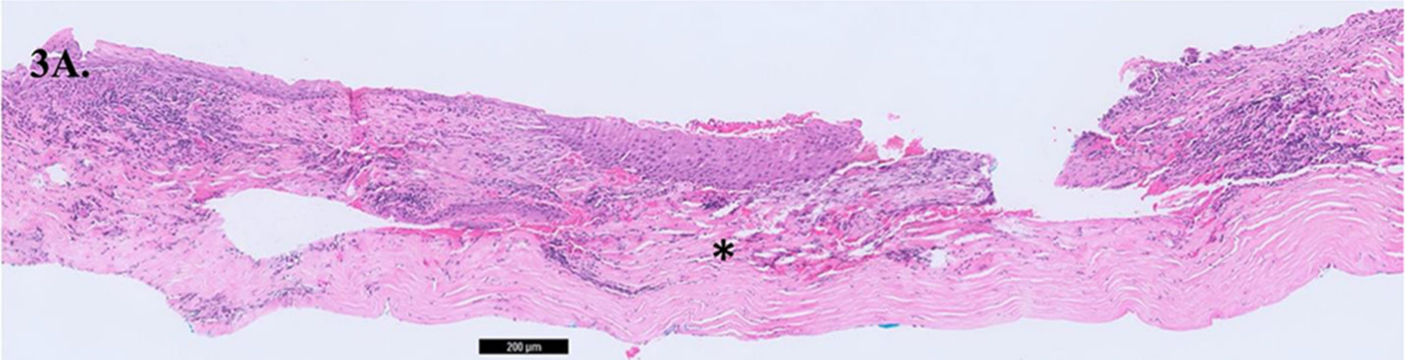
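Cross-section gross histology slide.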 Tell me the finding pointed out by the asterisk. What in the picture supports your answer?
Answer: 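Significant stromal thinning. The asterisk lies in the pink fibrous layer beneath the cellular surface layer. A cellular purple surface layer overlies the thin fibrous layer.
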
